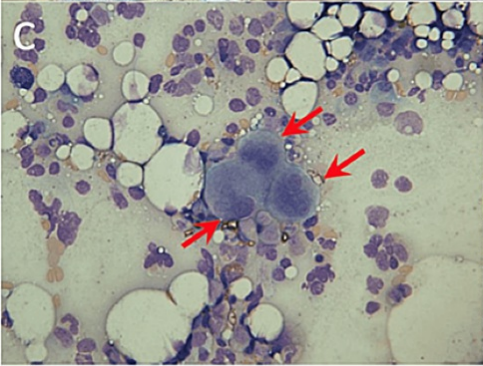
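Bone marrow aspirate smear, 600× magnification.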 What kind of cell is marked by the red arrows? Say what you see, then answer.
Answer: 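Megakaryocytes. The marked cell is many times larger than the surrounding marrow cells. It has abundant pale blue-violet cytoplasm.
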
